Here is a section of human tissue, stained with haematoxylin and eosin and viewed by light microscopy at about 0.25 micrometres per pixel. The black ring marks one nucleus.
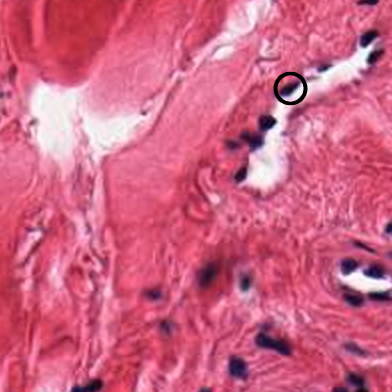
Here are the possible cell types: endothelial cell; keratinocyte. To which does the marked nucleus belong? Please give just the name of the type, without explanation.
endothelial cell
